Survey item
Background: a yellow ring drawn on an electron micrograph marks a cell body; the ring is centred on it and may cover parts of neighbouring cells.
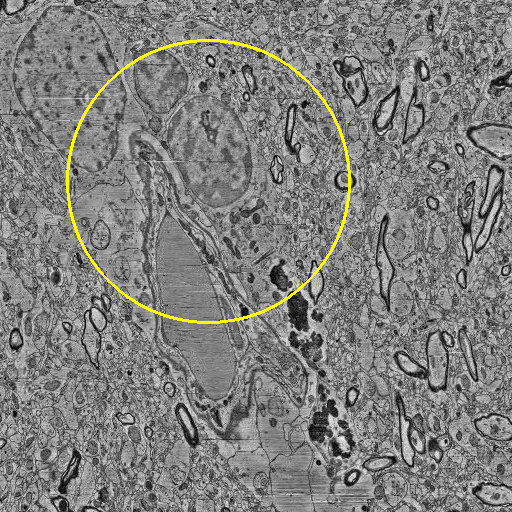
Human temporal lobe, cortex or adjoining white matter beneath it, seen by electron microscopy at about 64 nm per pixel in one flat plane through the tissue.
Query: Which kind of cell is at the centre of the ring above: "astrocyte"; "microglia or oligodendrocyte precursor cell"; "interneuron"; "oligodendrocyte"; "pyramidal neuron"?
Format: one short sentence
The cell in the middle of the ring is an oligodendrocyte.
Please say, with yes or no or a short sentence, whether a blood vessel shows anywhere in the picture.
Yes, there is a blood vessel.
